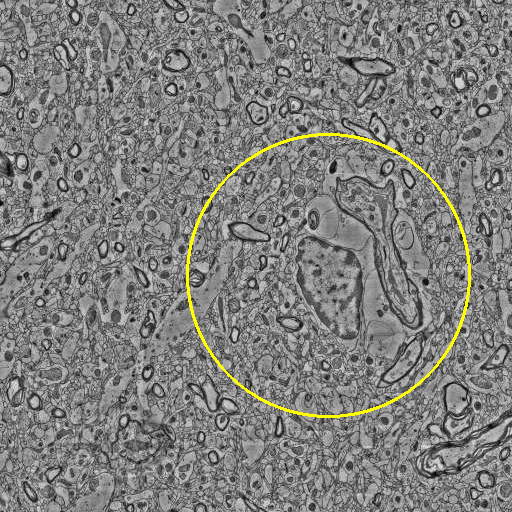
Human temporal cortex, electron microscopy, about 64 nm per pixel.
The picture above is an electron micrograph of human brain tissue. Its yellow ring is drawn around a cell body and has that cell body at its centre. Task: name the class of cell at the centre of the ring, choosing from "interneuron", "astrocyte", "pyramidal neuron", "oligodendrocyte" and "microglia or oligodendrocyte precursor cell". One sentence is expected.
The ring surrounds the body of a microglial cell or oligodendrocyte precursor cell.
